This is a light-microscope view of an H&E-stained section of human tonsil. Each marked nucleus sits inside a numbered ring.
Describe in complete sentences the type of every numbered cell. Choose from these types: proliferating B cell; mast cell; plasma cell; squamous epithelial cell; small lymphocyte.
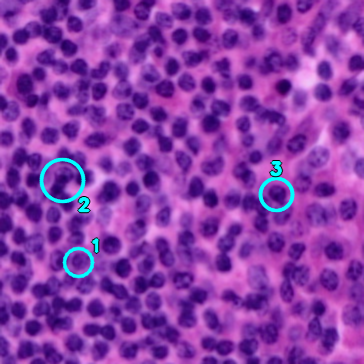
Cells 1 and 2 are small lymphocytes. Cell 3 is a plasma cell.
